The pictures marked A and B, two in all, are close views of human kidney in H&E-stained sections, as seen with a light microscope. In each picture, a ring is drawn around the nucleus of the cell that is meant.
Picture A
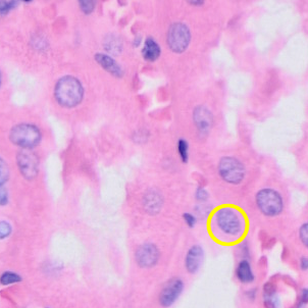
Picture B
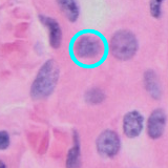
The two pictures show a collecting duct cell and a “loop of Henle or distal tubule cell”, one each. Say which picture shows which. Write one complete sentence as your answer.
The cell in picture A is a collecting duct cell, and the one in picture B is a “loop of Henle or distal tubule cell”.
